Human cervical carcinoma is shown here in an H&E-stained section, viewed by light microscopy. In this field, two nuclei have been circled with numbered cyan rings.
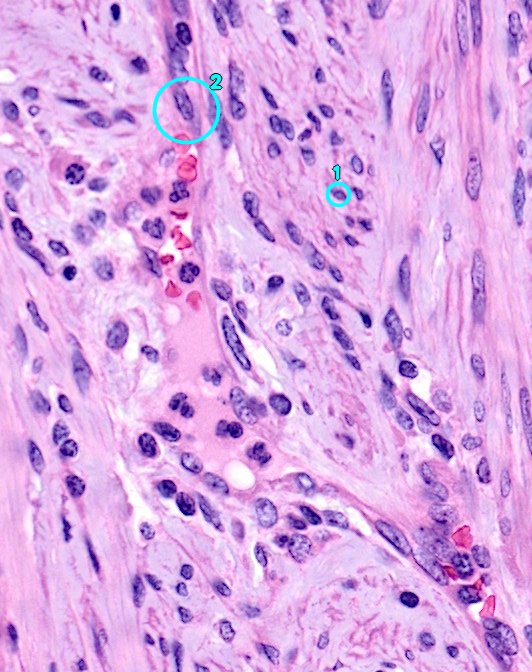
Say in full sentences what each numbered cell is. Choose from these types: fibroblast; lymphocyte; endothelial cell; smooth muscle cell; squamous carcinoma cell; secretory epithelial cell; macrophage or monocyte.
Cell 1 is a smooth muscle cell and cell 2 is an endothelial cell.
